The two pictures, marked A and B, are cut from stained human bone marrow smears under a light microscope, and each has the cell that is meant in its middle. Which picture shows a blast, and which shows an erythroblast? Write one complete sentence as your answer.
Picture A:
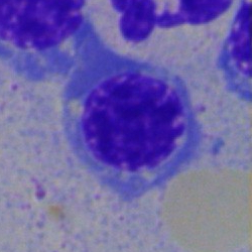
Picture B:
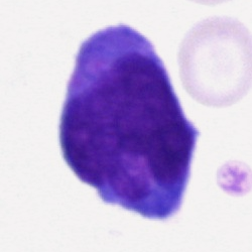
Picture A shows an erythroblast and picture B shows a blast.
